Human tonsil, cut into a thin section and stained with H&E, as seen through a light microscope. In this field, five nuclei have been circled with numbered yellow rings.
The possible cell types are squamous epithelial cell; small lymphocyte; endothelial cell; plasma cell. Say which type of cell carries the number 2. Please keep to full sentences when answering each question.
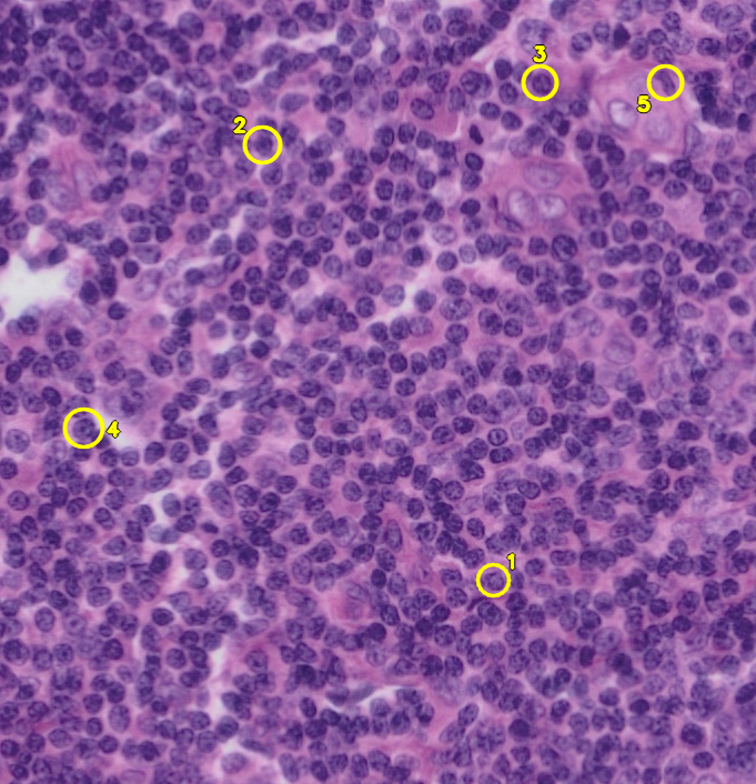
Nucleus 2 in this section belongs to a small lymphocyte.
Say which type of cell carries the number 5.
The cell assigned the number 5 is an endothelial cell.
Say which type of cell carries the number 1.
The numbered cell 1 is identified here as a small lymphocyte.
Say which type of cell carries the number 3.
The nucleus labelled 3 belongs to a plasma cell.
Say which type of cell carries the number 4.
That cell with number 4 is a small lymphocyte.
